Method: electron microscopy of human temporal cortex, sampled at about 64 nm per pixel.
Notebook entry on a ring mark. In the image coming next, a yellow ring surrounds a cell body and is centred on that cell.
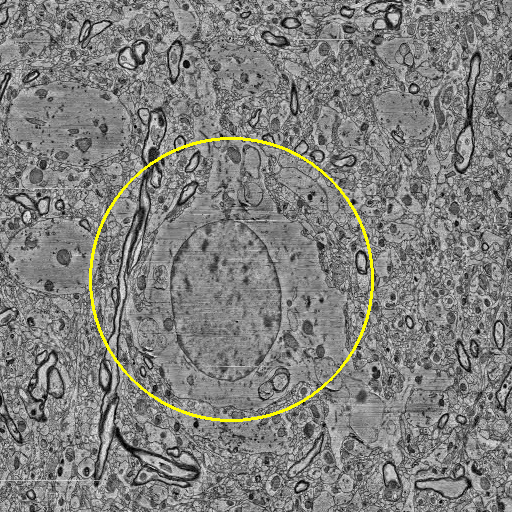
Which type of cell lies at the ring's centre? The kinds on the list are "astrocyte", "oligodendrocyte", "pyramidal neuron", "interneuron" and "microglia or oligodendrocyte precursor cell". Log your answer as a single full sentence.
Centred in the yellow ring is an astrocyte, the cell recorded for this image.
